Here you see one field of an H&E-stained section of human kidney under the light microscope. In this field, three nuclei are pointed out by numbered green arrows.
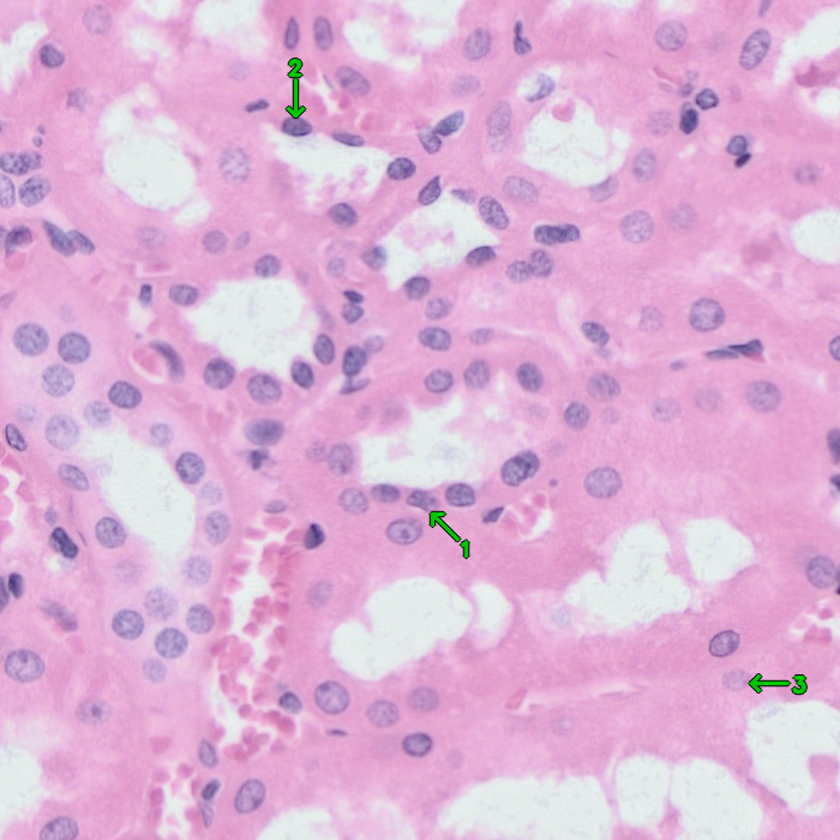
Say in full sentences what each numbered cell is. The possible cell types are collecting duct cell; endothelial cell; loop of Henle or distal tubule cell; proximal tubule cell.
Cell 1 is a loop of Henle or distal tubule cell, cell 2 is a loop of Henle or distal tubule cell and cell 3 is a proximal tubule cell.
